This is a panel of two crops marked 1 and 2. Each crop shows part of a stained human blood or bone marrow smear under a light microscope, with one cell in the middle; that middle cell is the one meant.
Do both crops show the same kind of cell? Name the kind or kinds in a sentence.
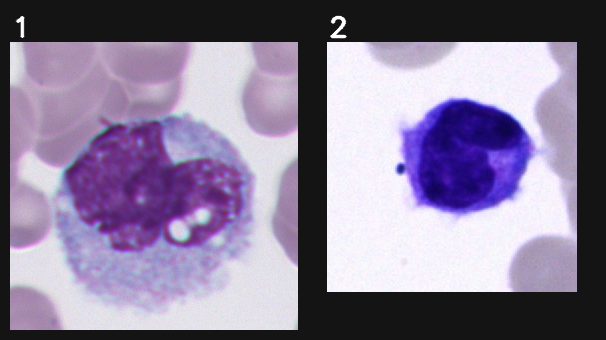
Yes, both crops here show monocytes, the pair of them.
